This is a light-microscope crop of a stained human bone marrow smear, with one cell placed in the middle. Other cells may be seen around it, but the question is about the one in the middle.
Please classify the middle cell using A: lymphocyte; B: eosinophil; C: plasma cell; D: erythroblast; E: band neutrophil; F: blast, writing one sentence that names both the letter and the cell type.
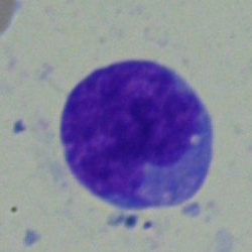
The right choice is option F: the cell in the middle is a blast.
